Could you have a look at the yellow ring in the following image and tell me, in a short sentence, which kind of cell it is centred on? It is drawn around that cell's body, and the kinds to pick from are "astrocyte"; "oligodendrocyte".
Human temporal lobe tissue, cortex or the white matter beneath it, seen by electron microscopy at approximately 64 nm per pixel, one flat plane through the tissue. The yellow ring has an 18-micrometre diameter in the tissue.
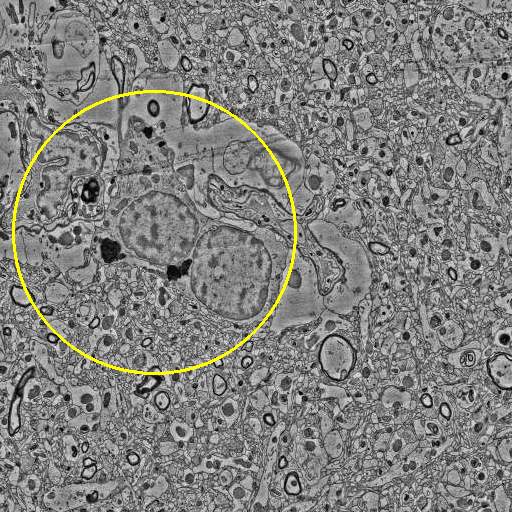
The ring is centred on the body of an oligodendrocyte.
